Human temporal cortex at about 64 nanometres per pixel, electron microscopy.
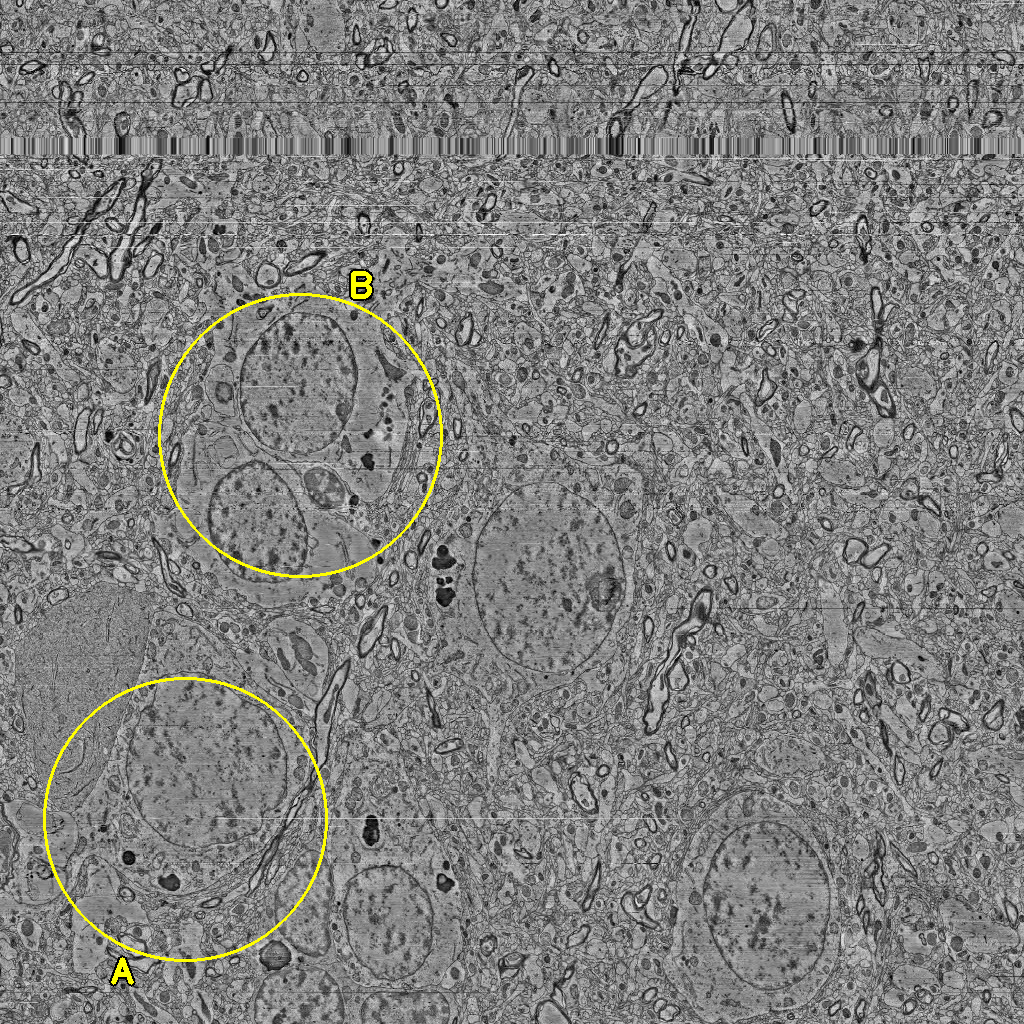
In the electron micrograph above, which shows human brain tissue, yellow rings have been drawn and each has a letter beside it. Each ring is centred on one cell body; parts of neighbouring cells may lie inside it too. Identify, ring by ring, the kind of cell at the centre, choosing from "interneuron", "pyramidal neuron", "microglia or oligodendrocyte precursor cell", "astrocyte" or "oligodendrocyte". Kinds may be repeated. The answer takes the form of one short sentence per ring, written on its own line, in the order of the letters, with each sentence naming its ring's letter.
Inside ring A, at its centre, is a pyramidal neuron.
Inside ring B, at its centre, is an astrocyte.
